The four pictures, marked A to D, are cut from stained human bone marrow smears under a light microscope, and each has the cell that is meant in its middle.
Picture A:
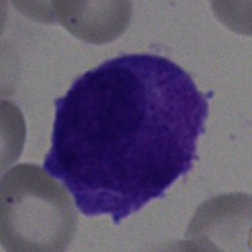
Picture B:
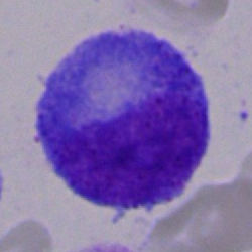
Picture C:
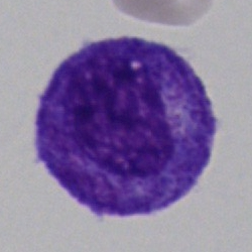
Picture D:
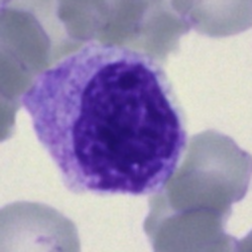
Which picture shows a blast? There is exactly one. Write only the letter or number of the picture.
A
